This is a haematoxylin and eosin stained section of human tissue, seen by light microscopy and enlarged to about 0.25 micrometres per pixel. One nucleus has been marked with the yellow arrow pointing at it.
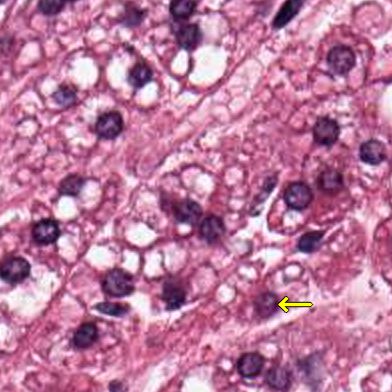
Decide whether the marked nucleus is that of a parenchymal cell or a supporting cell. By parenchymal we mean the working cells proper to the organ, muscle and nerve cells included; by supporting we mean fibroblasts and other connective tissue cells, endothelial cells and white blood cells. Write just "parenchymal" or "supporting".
parenchymal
